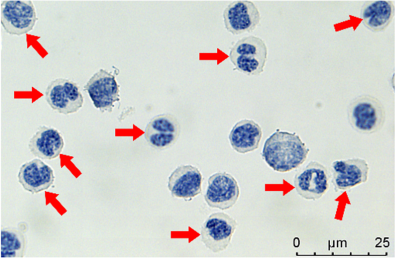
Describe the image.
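In many of them the nucleus is no longer round but indented, kidney- or horseshoe-shaped, or pinched into two or more lobes, much like band or segmented forms of neutrophils. The nuclear chromatin looks coarse and clumped. A few cells still have a rounder, less indented nucleus, so the population is not entirely uniform.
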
